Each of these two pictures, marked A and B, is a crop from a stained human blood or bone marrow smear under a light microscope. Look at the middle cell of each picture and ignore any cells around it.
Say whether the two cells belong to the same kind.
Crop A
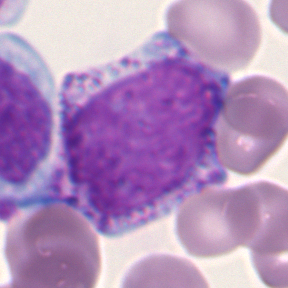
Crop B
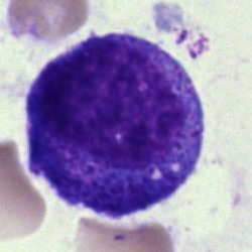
yes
